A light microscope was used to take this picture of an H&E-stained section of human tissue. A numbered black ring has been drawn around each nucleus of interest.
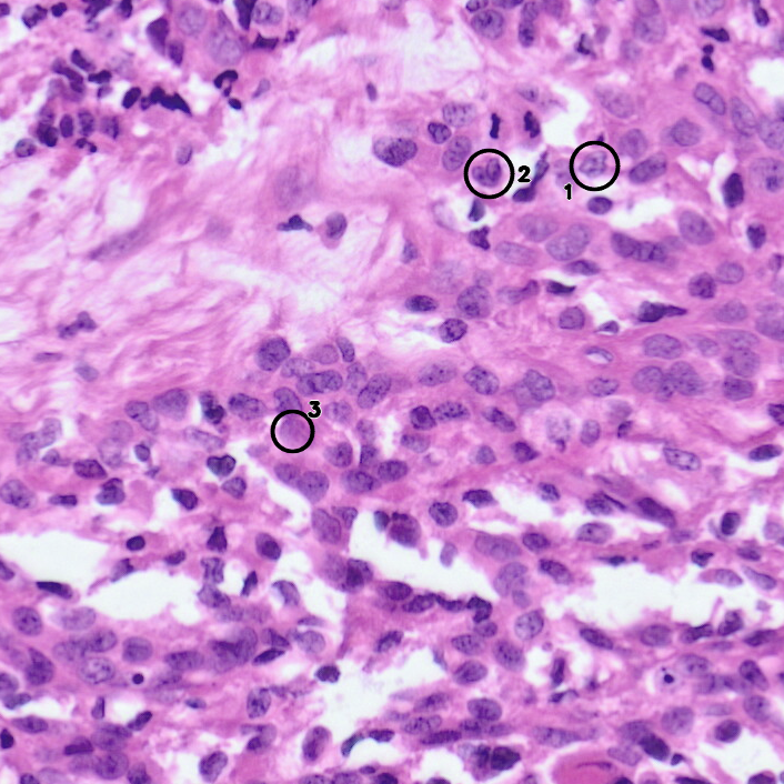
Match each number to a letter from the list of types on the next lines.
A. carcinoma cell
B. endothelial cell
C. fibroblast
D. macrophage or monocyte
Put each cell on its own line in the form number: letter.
1: D
2: D
3: A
